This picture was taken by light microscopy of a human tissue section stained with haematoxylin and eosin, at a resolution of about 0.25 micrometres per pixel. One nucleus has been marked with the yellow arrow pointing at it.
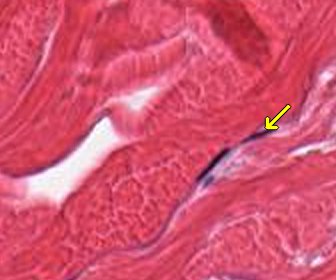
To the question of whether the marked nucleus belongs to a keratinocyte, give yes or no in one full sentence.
No, it is not a keratinocyte but a supporting cell to which the marked nucleus is assigned.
